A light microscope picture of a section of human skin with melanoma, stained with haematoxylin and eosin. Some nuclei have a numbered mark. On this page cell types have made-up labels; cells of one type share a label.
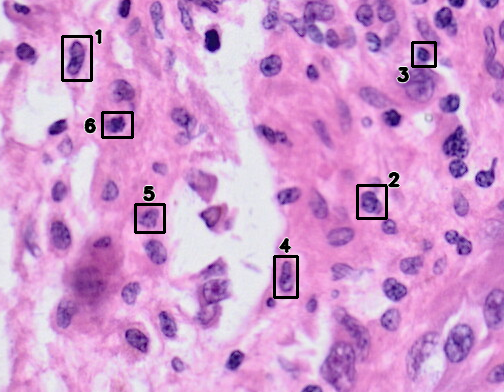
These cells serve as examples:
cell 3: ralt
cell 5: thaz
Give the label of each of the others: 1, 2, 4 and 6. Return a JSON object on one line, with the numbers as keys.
{"1": "thaz", "2": "ralt", "4": "thaz", "6": "ralt"}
